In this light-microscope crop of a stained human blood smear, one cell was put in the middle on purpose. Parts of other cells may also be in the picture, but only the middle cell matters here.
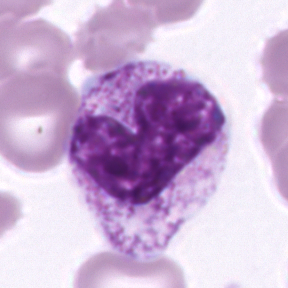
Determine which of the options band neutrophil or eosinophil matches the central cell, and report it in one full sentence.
The cell at the middle of the frame should be recorded as a band neutrophil.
